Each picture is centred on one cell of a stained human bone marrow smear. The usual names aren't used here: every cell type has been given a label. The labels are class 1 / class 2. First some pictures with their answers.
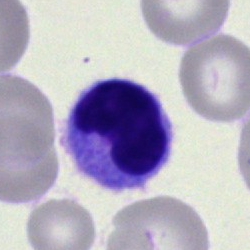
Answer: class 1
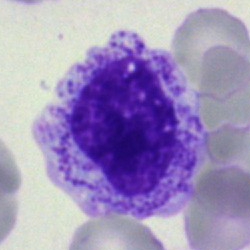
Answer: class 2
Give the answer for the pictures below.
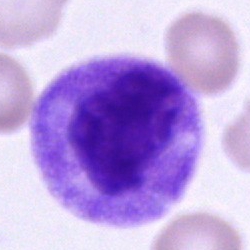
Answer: class 2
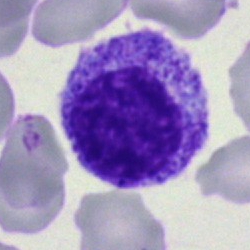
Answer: class 2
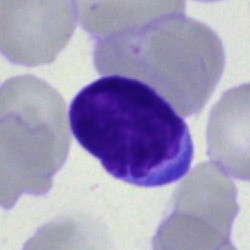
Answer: class 1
